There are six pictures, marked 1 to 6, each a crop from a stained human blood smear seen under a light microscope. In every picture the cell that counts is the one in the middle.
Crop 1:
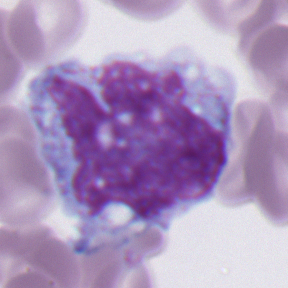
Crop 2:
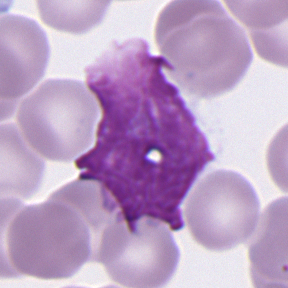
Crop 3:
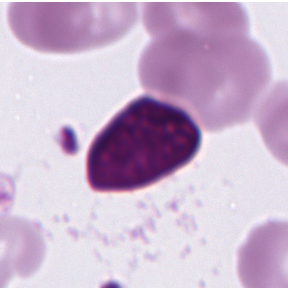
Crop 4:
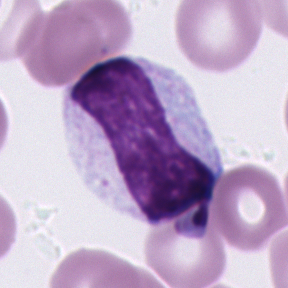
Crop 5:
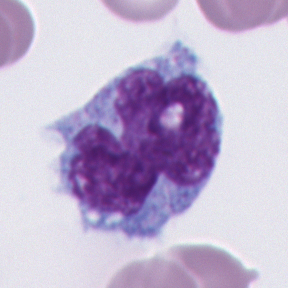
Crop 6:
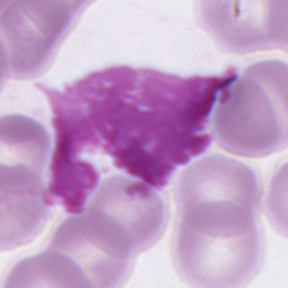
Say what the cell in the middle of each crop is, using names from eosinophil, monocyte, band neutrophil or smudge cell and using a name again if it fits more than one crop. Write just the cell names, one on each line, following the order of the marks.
monocyte
smudge cell
smudge cell
band neutrophil
monocyte
smudge cell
